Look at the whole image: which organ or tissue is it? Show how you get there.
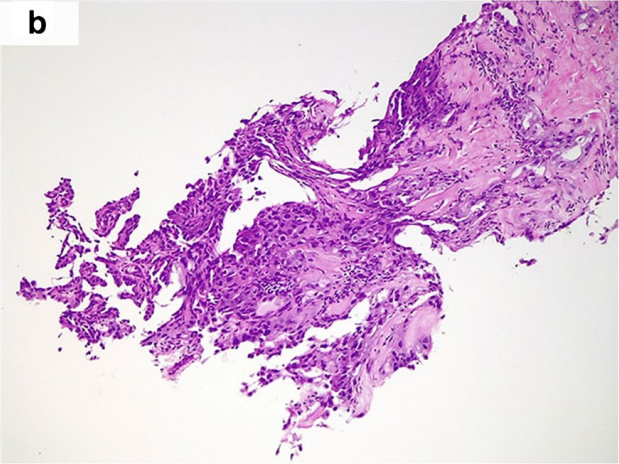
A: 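Pink, collagen-rich bands run between the cell groups. Spindle-shaped nuclei lie scattered in the pink bands. So: fibrous stroma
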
